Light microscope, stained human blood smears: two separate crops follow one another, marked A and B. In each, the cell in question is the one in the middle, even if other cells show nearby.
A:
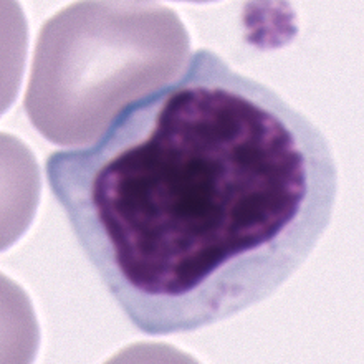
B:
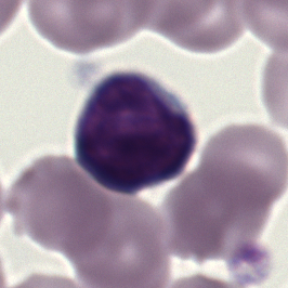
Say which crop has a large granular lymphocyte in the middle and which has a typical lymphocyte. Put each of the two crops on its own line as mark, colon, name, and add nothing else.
A: large granular lymphocyte
B: typical lymphocyte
